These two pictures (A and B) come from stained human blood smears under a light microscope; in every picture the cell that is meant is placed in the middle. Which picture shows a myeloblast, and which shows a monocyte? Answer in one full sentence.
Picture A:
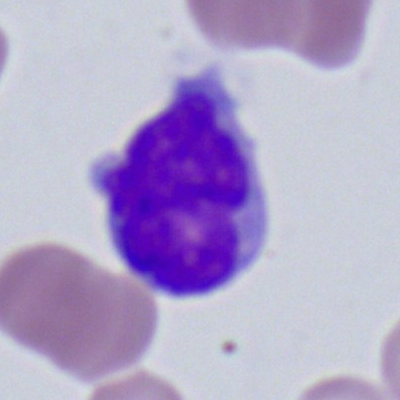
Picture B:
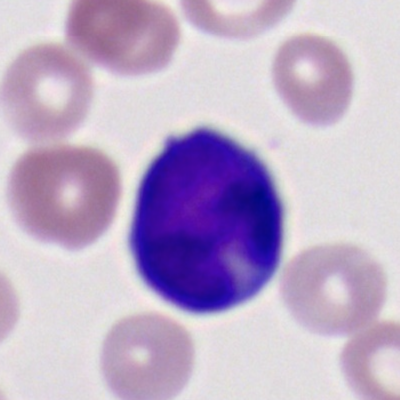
Picture A shows a monocyte and picture B shows a myeloblast.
